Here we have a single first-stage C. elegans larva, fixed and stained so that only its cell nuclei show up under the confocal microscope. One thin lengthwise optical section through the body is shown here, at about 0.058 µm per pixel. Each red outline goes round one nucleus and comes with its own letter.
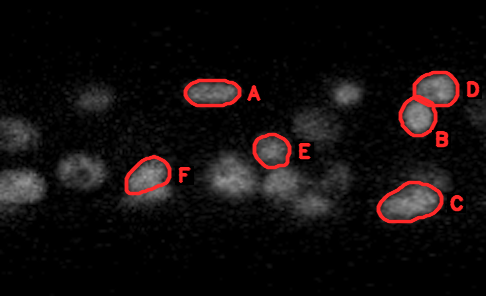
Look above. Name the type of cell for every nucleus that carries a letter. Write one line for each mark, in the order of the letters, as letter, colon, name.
A: body wall muscle cell
B: neuron
C: body wall muscle cell
D: body wall muscle cell
E: neuron
F: neuron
